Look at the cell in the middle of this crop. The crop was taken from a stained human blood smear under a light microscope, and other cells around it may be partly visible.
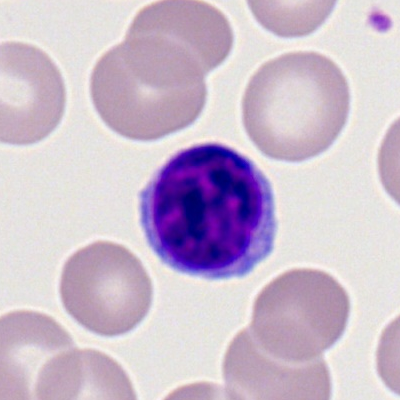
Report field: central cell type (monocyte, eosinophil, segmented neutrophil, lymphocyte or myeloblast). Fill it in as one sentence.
The middle position in this crop is taken by a lymphocyte.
